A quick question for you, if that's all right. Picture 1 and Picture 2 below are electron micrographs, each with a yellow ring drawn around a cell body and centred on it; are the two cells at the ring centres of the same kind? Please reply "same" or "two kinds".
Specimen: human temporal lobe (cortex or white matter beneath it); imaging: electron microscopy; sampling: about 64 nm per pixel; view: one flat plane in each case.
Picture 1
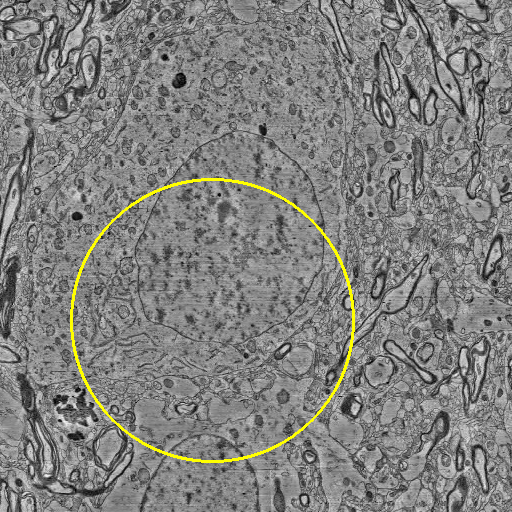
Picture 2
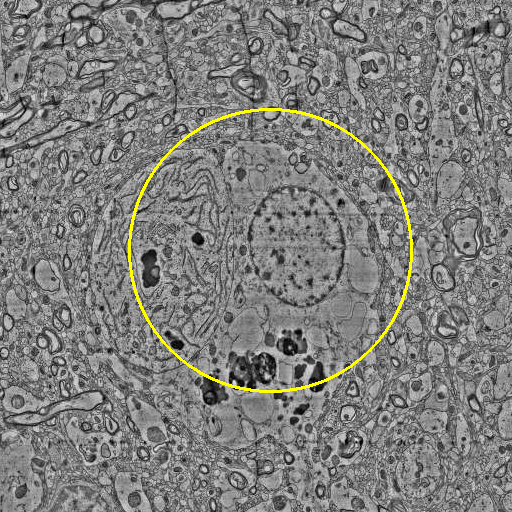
two kinds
